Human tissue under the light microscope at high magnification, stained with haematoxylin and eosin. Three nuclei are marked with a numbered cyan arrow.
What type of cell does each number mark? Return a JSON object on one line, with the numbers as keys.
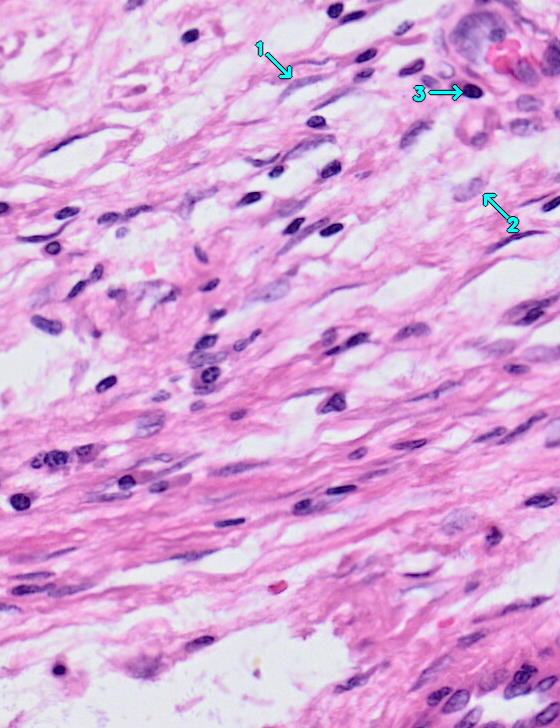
{"1": "fibroblast or myofibroblast", "2": "fibroblast or myofibroblast", "3": "plasma cell"}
